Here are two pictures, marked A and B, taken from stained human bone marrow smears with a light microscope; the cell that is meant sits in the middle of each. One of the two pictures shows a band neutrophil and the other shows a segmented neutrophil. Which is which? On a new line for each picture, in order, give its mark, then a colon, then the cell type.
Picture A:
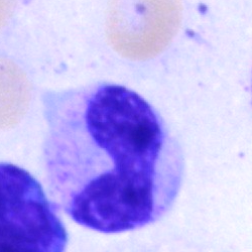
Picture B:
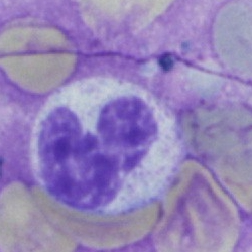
A: band neutrophil
B: segmented neutrophil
